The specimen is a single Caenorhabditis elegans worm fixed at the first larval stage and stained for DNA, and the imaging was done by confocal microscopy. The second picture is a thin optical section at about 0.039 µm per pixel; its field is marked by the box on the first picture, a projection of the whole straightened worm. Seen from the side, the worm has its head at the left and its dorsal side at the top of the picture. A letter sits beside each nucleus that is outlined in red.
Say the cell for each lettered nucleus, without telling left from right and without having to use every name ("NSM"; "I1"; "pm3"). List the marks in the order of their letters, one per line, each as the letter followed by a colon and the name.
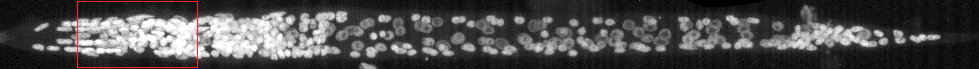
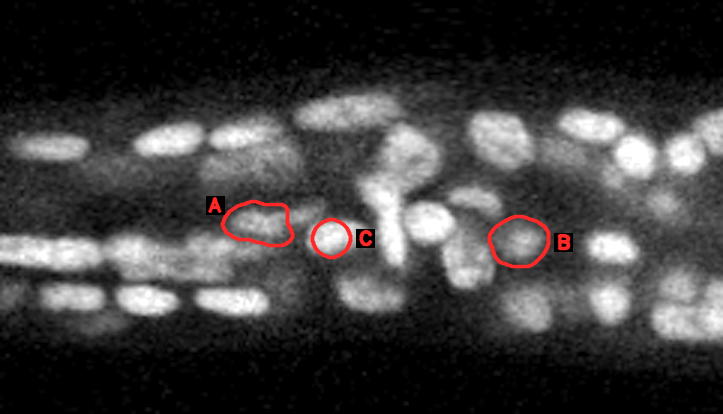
A: pm3
B: NSM
C: I1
